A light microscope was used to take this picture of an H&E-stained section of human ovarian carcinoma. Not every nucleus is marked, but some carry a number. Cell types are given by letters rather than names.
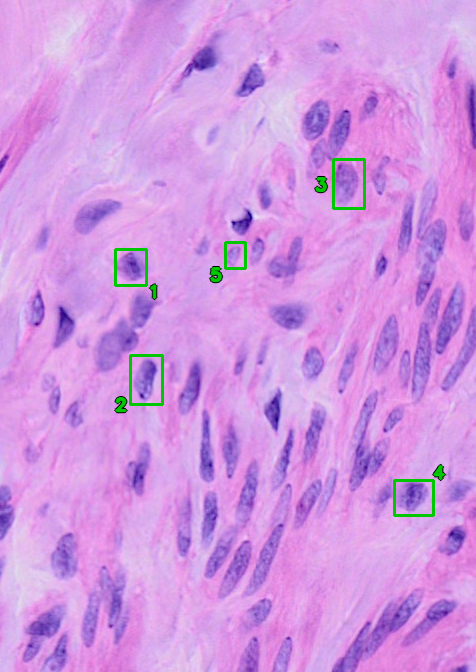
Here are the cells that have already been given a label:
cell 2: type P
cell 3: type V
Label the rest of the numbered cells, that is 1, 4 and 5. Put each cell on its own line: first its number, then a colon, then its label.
1: type P
4: type P
5: type V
